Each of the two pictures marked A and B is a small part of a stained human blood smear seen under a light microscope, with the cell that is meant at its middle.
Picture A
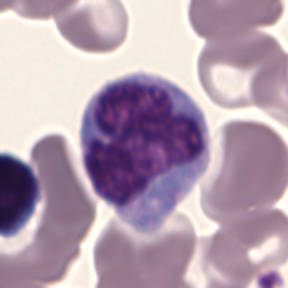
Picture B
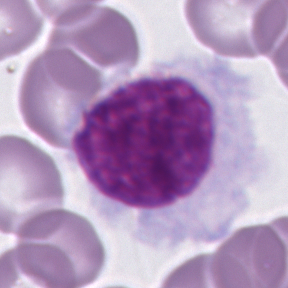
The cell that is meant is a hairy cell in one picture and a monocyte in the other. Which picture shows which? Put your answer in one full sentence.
Picture B shows a hairy cell, while picture A shows a monocyte.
